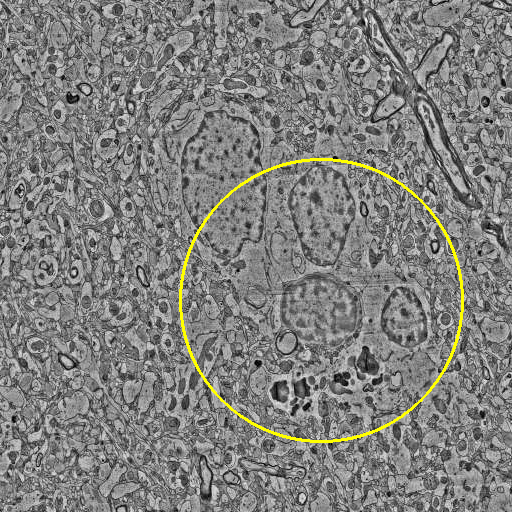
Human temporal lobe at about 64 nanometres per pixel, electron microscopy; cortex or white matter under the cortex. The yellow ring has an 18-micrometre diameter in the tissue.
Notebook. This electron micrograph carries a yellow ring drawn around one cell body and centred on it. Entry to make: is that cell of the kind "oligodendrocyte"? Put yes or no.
yes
